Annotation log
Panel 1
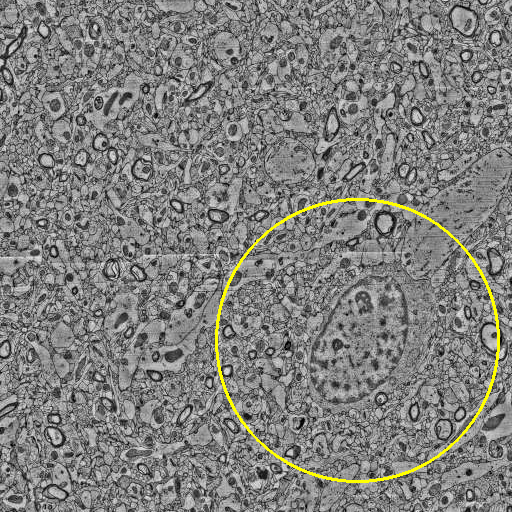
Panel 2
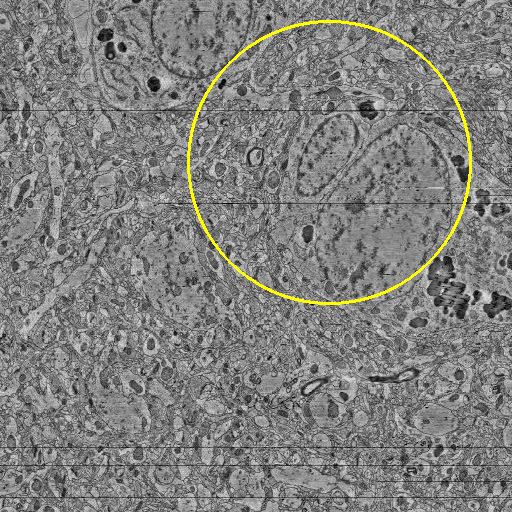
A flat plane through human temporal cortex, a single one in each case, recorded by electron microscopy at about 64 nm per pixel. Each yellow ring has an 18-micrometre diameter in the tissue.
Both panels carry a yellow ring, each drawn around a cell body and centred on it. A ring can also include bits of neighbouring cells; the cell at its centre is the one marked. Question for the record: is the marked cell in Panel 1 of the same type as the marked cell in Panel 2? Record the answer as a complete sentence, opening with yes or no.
No, the marked cells in Panel 1 and Panel 2 are of two types.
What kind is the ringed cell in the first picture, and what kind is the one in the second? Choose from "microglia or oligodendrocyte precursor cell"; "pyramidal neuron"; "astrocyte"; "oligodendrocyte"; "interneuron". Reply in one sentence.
The first cell is an oligodendrocyte; the second is a microglial cell or oligodendrocyte precursor cell.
